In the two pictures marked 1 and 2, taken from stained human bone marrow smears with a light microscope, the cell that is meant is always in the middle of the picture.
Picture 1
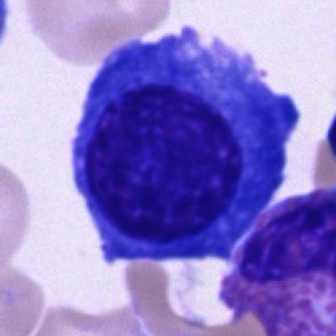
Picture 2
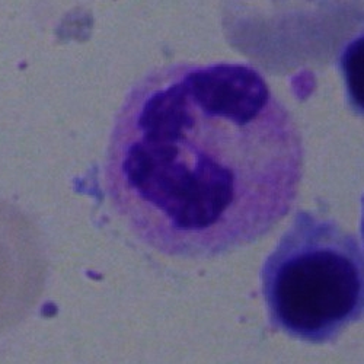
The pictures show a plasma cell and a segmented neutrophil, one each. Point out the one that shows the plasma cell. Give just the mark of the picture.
1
